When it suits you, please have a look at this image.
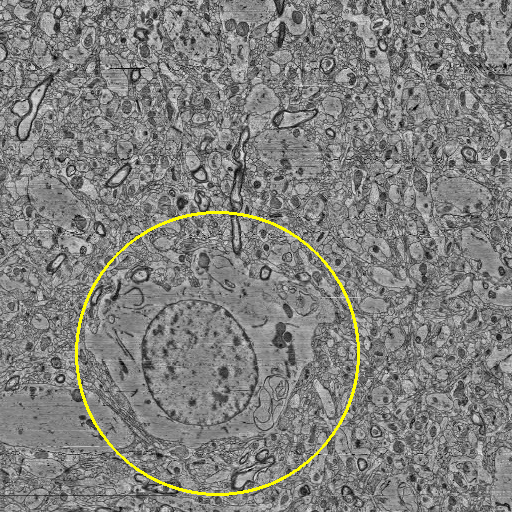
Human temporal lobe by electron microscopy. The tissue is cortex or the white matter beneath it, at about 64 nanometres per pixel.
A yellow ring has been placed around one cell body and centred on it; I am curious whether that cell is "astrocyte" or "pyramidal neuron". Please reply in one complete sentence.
The ringed cell, an astrocyte, has its body at the centre of the yellow ring.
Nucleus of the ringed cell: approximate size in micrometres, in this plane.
The nucleus appears about 8 micrometres across in this plane.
